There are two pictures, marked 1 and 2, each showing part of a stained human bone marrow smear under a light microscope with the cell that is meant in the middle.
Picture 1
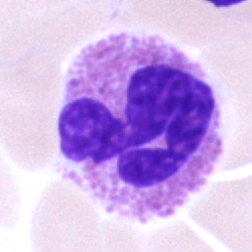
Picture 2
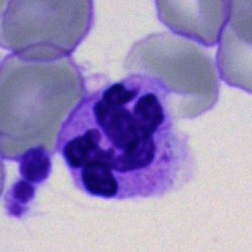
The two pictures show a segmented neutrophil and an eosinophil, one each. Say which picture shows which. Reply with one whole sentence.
Picture 1 shows an eosinophil and picture 2 shows a segmented neutrophil.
